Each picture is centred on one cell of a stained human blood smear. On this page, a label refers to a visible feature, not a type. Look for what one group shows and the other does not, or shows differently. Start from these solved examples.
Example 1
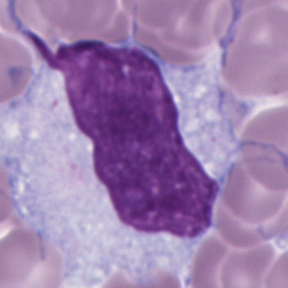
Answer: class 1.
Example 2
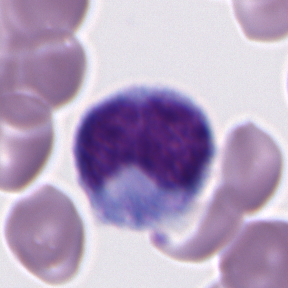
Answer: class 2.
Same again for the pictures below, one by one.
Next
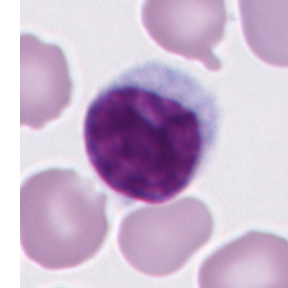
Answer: class 2.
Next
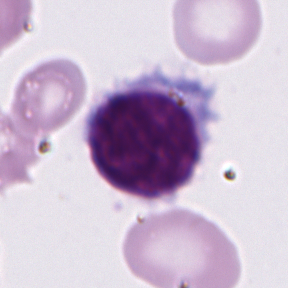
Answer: class 2.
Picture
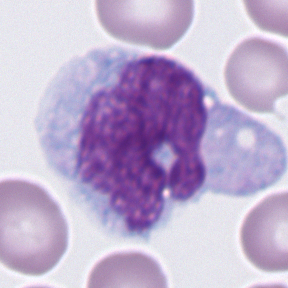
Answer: class 1.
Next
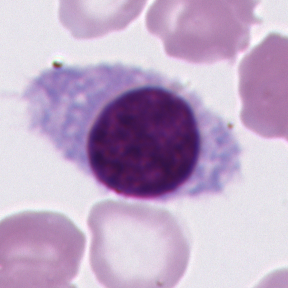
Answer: class 1.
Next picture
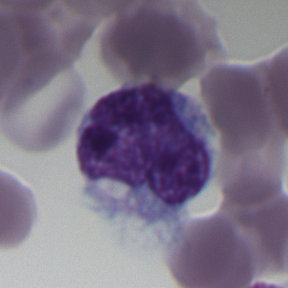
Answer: class 2.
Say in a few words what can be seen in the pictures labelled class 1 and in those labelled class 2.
class 1, abundant cytoplasm; class 2, scant cytoplasm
